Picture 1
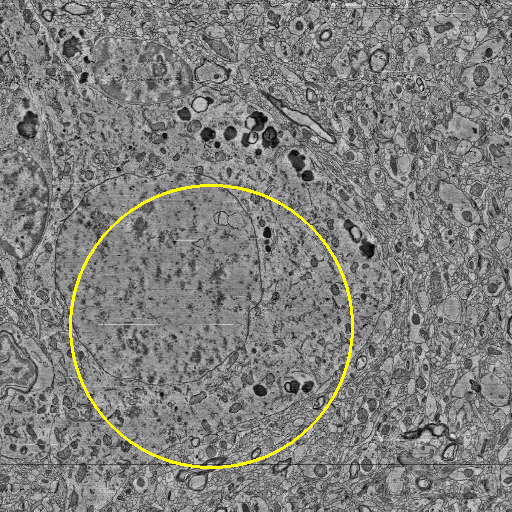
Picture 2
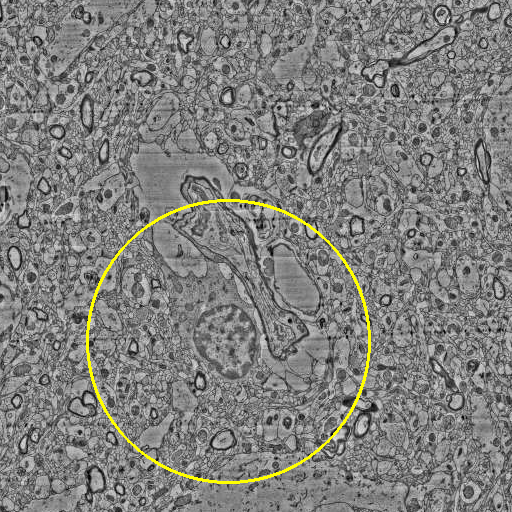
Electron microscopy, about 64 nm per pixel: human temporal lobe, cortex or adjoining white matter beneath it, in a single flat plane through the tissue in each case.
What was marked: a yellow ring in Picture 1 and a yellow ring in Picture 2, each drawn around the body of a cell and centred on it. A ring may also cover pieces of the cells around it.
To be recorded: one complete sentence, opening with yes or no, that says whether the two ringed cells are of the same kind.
No, the two ringed cells are of two kinds.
